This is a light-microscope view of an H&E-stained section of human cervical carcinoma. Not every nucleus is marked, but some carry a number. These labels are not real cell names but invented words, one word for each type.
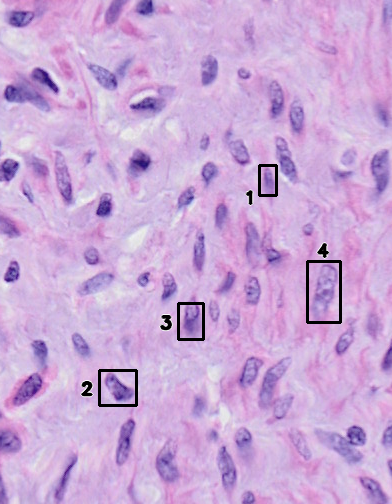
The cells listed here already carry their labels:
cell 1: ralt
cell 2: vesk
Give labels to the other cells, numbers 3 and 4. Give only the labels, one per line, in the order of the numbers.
ralt
ralt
